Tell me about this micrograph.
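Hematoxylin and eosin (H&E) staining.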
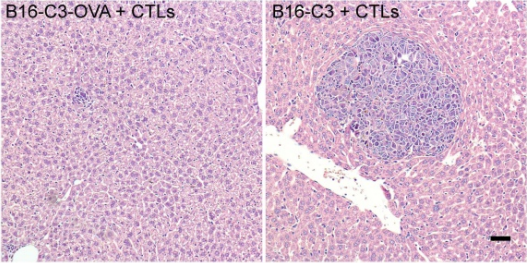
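Two sections of liver show cords and sheets of hepatocytes with pink cytoplasm and round purple nuclei. In the right image, a large vessel lumen lies next to a rounded, well-demarcated nodule of tightly packed cells that stains more purple than the liver around it.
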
